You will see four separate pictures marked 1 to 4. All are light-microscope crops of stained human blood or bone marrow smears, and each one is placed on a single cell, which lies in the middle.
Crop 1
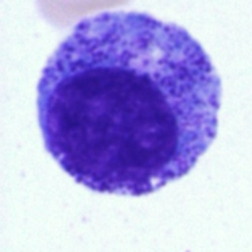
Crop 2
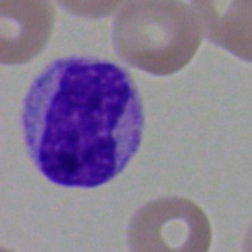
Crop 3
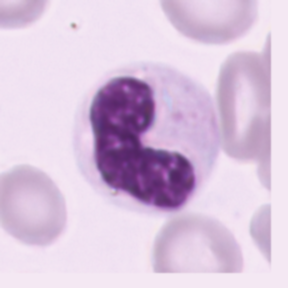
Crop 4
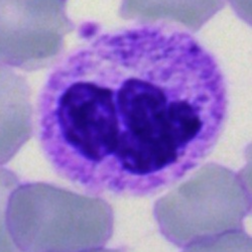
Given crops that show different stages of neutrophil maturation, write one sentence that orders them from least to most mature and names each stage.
The order of maturity, beginning with the least mature, is crop 1 (a promyelocyte), crop 2 (a metamyelocyte), crop 3 (a band neutrophil) and crop 4 (a segmented neutrophil).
